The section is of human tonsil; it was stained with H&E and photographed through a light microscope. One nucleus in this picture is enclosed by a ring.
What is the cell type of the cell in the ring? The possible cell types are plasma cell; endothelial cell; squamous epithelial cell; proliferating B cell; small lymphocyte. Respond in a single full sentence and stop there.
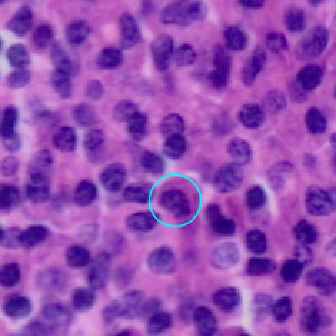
It is as a plasma cell that the cell in the ring is classified.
